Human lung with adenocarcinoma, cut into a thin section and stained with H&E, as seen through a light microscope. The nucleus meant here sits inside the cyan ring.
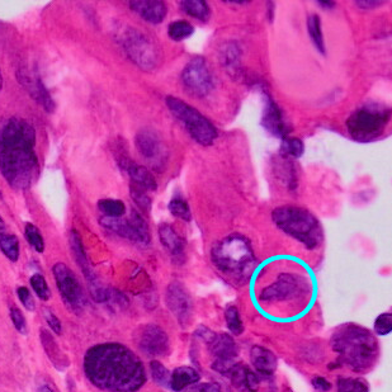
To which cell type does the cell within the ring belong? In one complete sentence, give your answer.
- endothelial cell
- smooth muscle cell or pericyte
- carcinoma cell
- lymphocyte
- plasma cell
In the stained section, the cell within the ring is a carcinoma cell.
